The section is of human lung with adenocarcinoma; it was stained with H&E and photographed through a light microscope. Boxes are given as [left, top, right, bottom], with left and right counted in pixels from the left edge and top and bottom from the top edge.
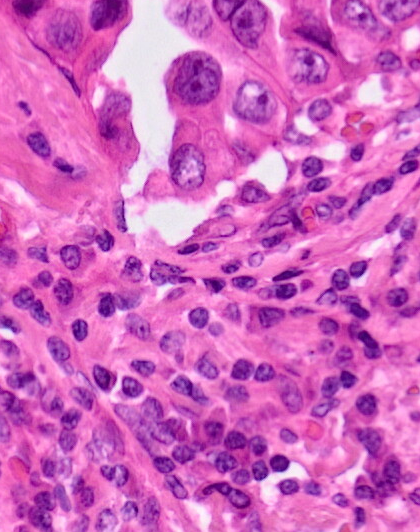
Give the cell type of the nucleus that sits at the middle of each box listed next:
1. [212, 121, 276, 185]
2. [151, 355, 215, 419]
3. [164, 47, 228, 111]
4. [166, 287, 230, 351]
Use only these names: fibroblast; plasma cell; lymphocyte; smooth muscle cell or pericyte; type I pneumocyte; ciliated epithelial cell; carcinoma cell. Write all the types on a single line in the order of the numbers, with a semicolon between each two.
carcinoma cell; lymphocyte; carcinoma cell; lymphocyte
